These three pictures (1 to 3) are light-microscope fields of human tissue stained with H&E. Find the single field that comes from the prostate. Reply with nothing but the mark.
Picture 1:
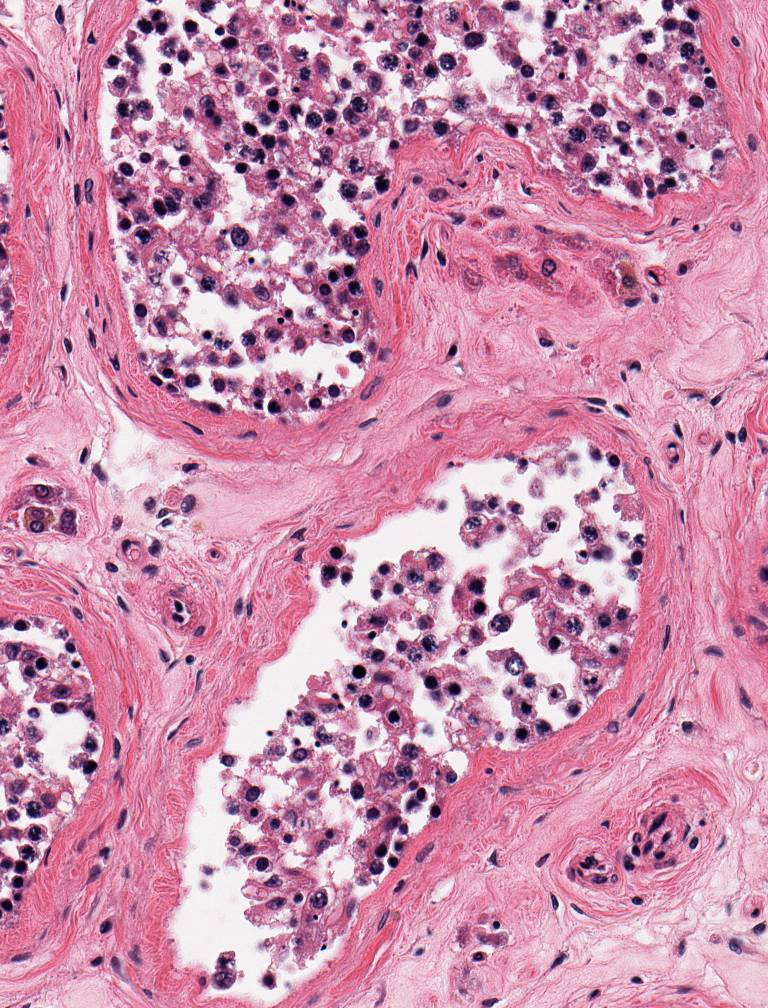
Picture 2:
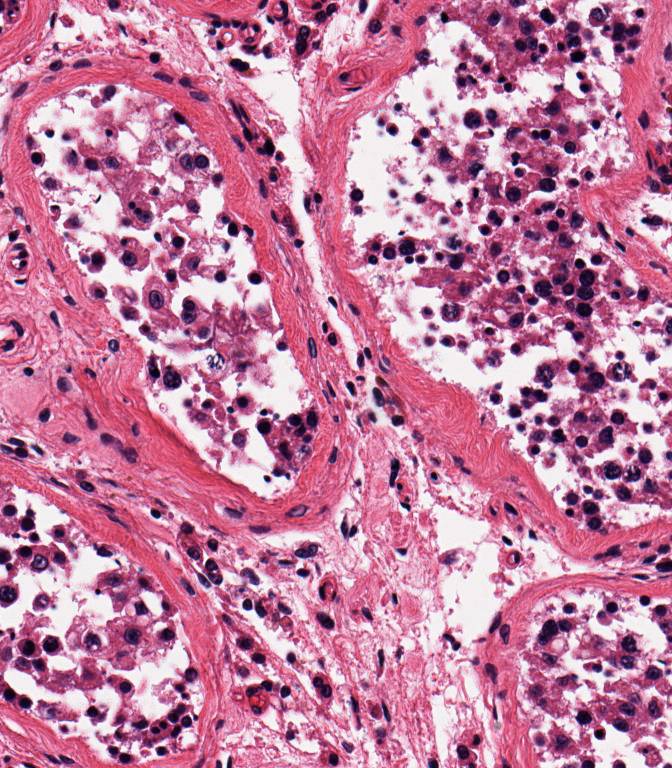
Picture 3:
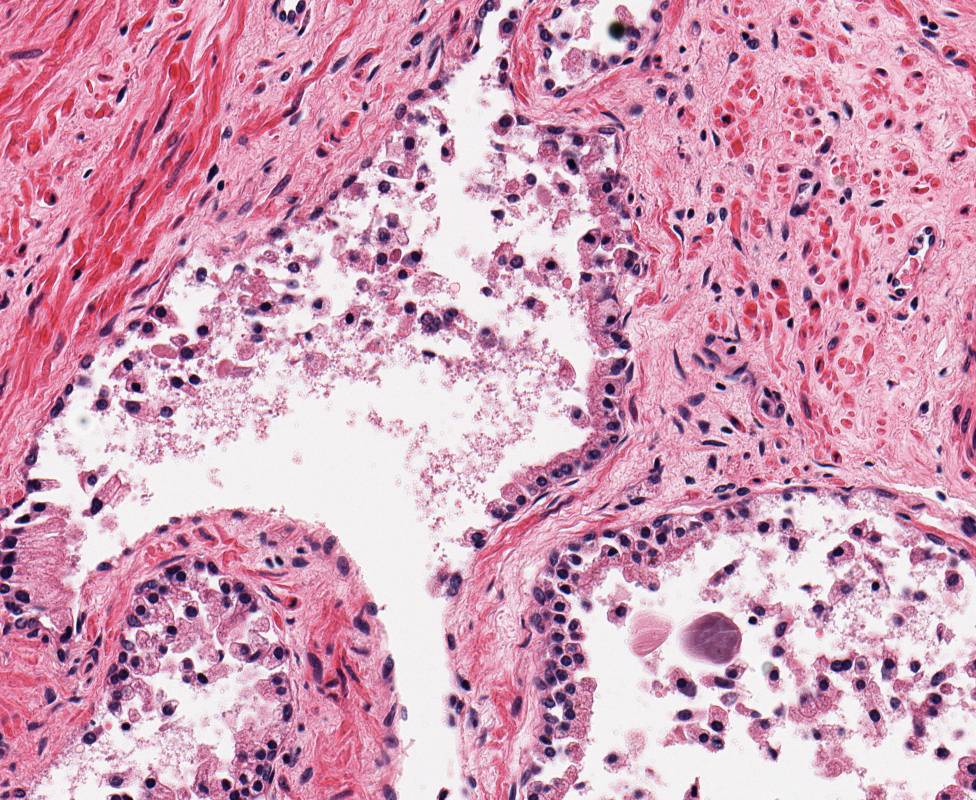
3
